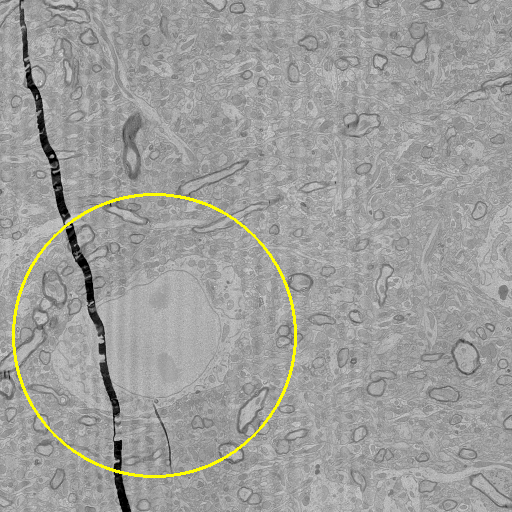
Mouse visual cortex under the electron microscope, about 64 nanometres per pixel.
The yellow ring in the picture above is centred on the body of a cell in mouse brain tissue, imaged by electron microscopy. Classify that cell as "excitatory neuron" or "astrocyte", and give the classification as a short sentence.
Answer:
The cell in the middle of the ring is an excitatory neuron.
